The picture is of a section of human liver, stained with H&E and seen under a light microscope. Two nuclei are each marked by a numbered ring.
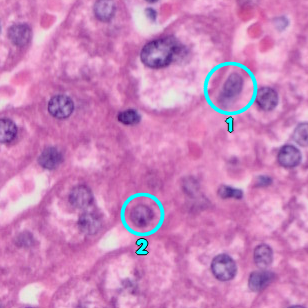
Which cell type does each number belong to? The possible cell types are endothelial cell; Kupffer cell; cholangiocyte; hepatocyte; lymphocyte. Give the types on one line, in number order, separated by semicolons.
Kupffer cell; hepatocyte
